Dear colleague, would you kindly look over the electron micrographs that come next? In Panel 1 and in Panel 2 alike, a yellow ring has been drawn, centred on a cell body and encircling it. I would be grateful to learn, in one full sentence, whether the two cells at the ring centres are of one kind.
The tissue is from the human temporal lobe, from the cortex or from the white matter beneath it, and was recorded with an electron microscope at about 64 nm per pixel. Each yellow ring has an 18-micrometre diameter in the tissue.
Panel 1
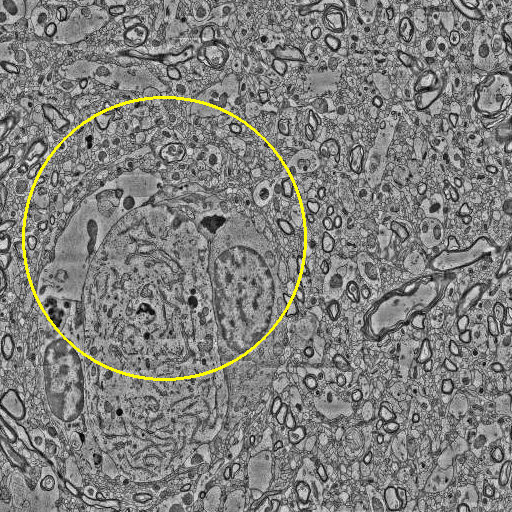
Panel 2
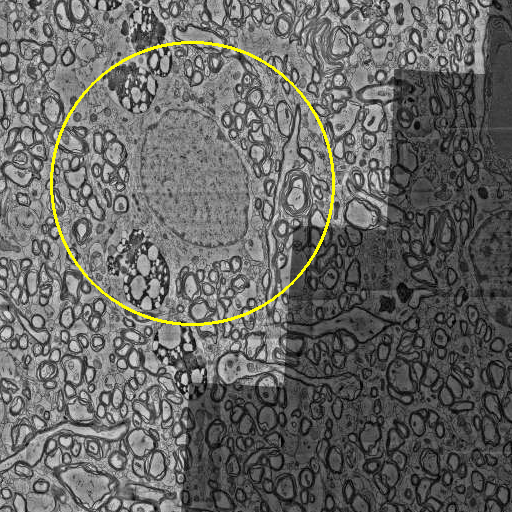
No, the cells in the middle of the rings in the two panels are of two kinds.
